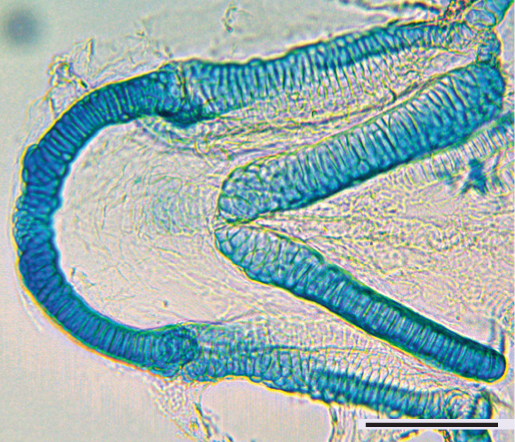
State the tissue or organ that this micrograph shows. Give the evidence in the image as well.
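Lower jaws. A blue-stained U-shaped cartilage element runs across the front. Rows of stacked cells make up the blue elements.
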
